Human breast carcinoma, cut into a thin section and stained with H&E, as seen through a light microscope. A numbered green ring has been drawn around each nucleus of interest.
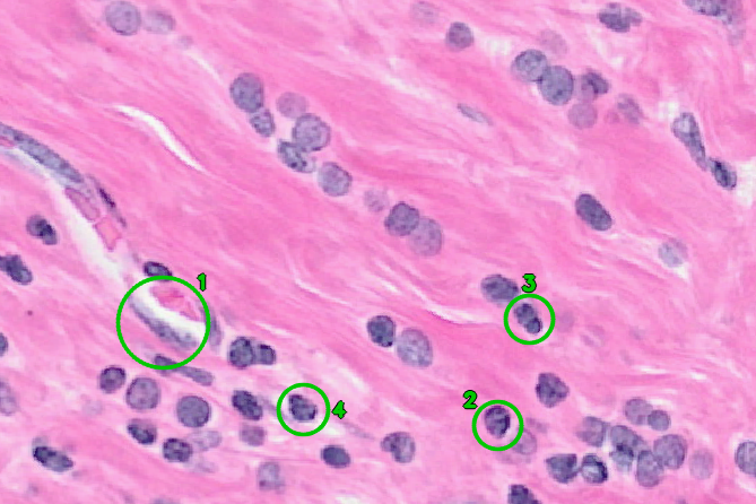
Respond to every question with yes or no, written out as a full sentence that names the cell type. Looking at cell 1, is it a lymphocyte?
No, number 1 points to an endothelial cell and not to a lymphocyte.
